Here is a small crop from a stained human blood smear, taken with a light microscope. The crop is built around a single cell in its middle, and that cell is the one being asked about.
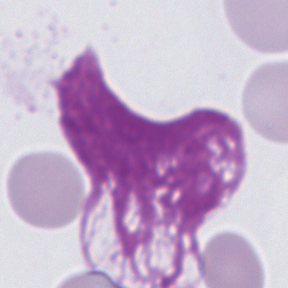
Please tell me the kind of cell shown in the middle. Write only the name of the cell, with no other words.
smudge cell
